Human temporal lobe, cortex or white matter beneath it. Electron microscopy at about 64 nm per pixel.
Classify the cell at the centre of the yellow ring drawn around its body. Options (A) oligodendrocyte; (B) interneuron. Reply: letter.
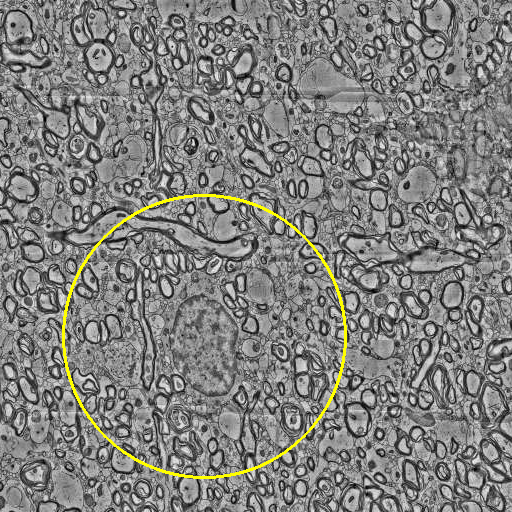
A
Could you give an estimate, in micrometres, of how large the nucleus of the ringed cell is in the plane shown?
In this plane, the nucleus of the cell at the centre of the ring measures about 6 by 4 micrometres.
